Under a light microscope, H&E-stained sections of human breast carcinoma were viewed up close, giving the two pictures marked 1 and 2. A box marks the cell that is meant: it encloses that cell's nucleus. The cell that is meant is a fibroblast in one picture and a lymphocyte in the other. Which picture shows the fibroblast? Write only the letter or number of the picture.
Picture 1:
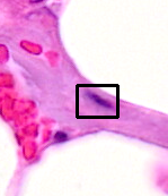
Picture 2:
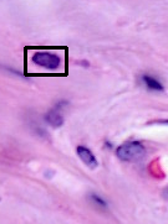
1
